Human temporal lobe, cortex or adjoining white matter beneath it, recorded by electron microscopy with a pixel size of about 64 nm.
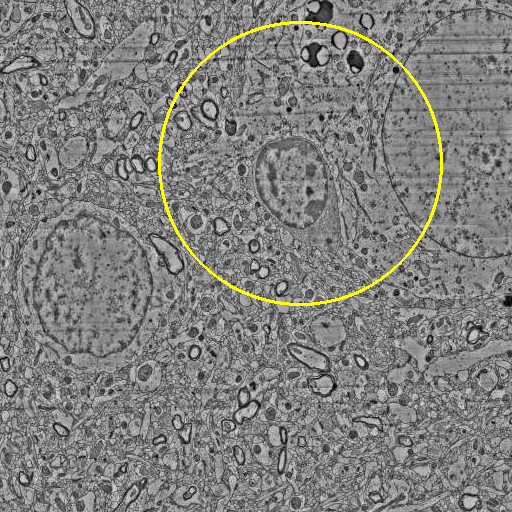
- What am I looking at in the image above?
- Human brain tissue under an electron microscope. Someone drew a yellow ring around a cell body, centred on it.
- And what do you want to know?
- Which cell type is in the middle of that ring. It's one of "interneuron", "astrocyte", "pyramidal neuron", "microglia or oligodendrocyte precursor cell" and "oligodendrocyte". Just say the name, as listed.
oligodendrocyte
